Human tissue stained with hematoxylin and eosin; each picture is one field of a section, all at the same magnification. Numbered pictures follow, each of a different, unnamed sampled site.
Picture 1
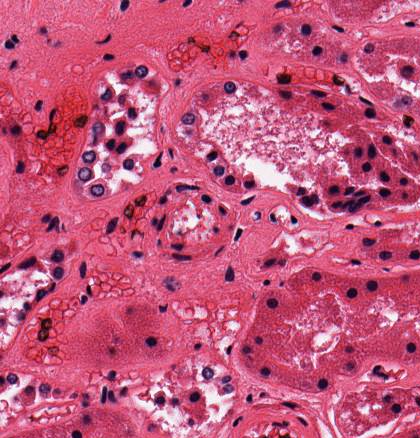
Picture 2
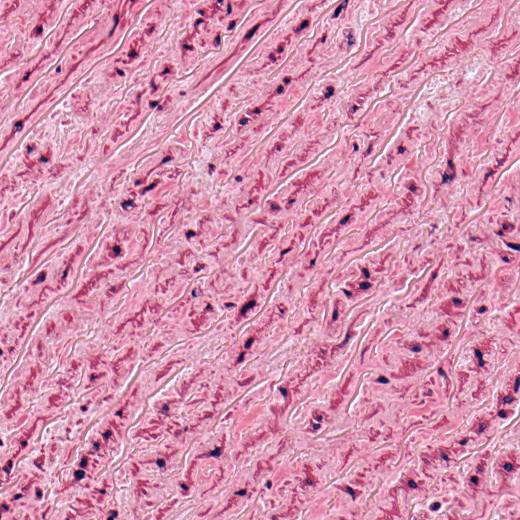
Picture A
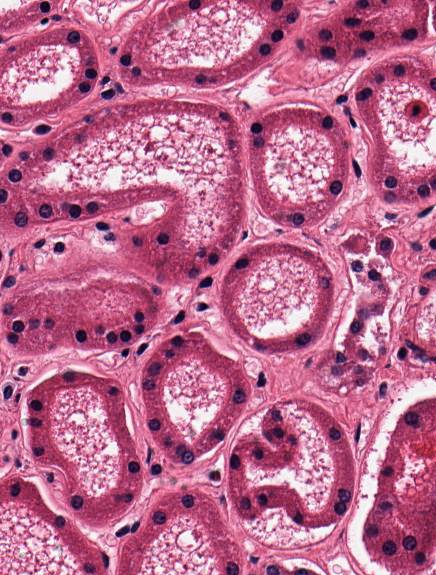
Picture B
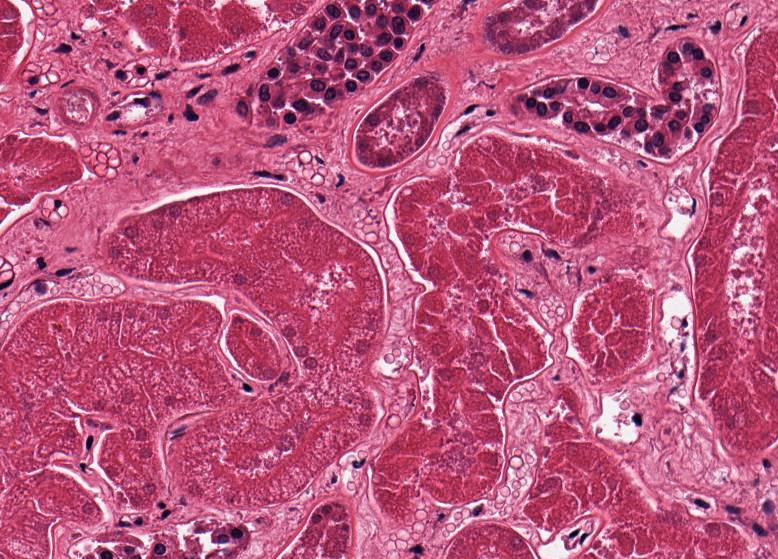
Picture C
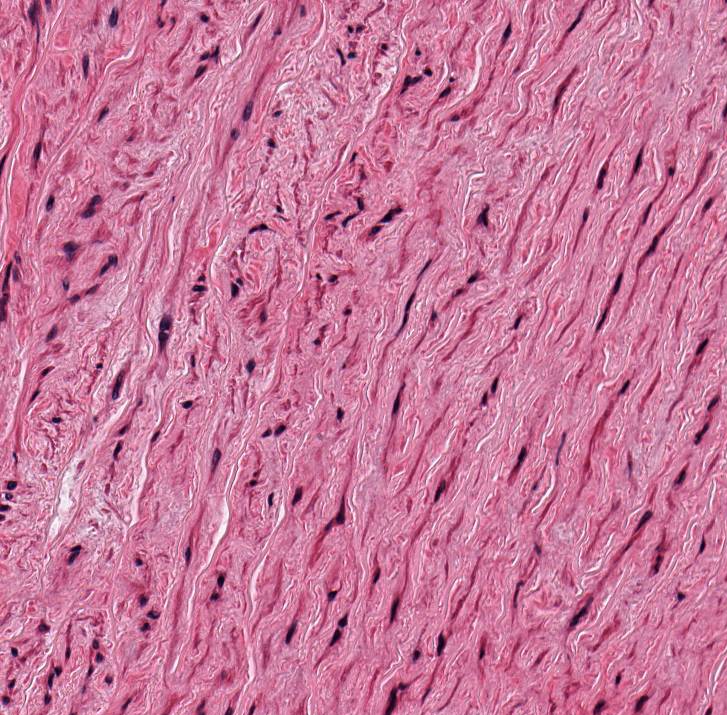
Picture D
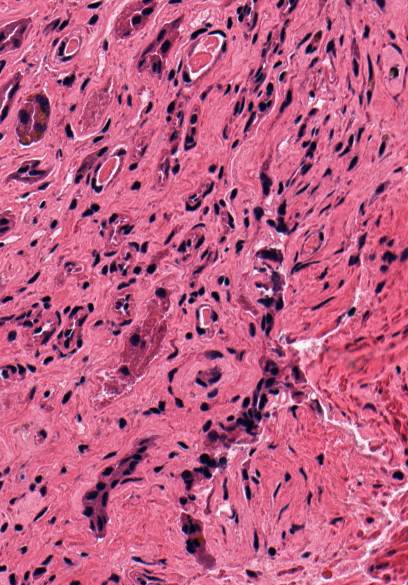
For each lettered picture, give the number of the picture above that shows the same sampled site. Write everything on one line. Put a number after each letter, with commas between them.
A 1, B 1, C 2, D 1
